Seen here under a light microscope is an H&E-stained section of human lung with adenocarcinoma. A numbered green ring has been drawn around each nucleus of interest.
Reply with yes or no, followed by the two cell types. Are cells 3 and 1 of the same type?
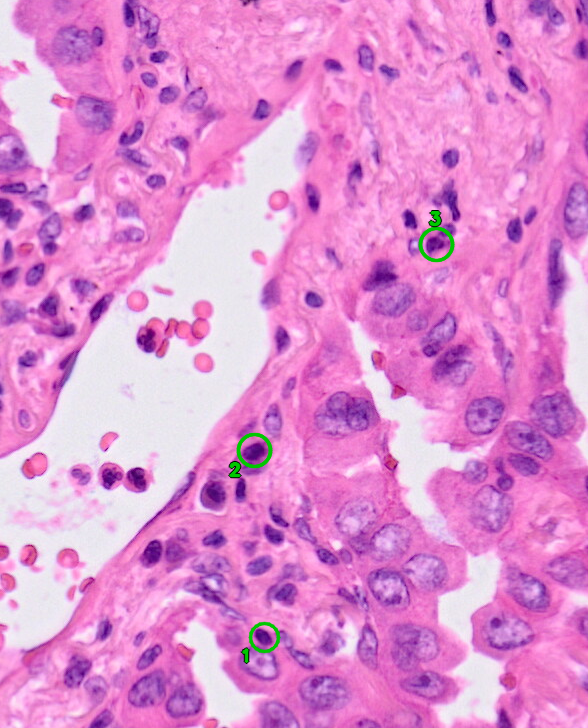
No: cell 3 is a plasma cell, while cell 1 is a lymphocyte.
